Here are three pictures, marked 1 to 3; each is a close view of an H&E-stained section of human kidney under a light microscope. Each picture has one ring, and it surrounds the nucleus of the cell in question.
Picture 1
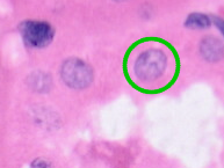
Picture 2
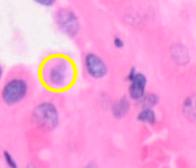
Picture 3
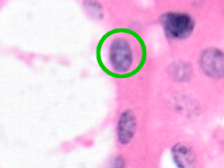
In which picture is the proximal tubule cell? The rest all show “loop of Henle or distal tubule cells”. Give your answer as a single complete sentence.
It is picture 1 that shows the proximal tubule cell.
